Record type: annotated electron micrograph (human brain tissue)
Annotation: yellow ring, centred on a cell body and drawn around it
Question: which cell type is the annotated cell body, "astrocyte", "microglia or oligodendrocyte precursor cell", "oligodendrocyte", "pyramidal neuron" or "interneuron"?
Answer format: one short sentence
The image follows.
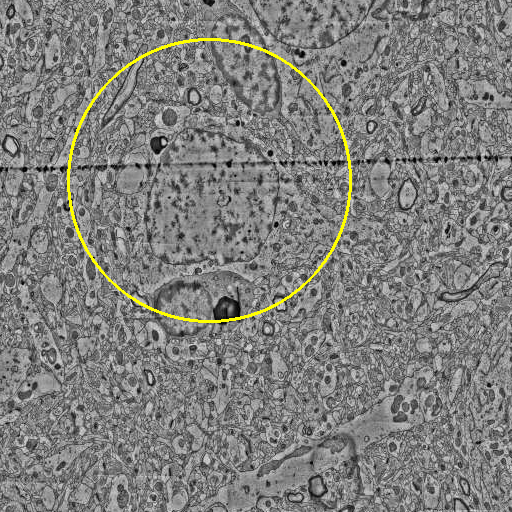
The annotated cell body is that of an interneuron.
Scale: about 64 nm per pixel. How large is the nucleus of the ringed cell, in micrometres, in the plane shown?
The nucleus of the ringed cell is approximately 9 micrometres across in this plane.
